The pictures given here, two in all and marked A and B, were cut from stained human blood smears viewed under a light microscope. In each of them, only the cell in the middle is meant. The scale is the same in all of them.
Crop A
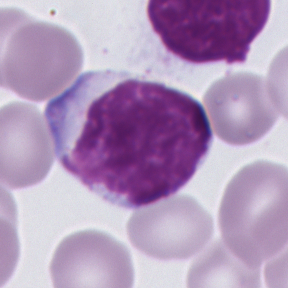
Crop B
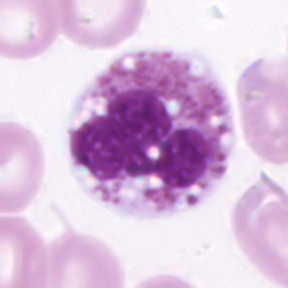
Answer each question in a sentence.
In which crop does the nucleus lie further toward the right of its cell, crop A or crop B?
In crop A the nucleus is shifted more toward the right.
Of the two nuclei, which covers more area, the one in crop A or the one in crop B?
It is the nucleus in crop A, about 1.5 times as large in area as the one in crop B.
